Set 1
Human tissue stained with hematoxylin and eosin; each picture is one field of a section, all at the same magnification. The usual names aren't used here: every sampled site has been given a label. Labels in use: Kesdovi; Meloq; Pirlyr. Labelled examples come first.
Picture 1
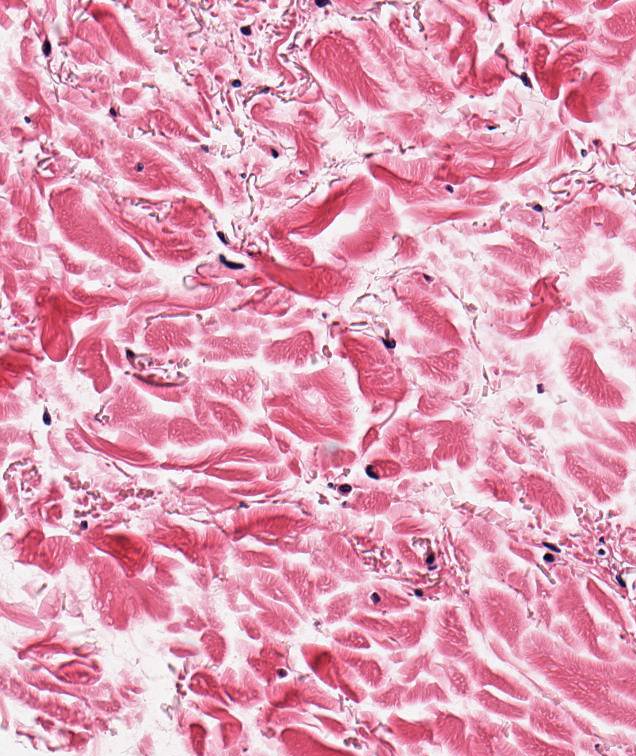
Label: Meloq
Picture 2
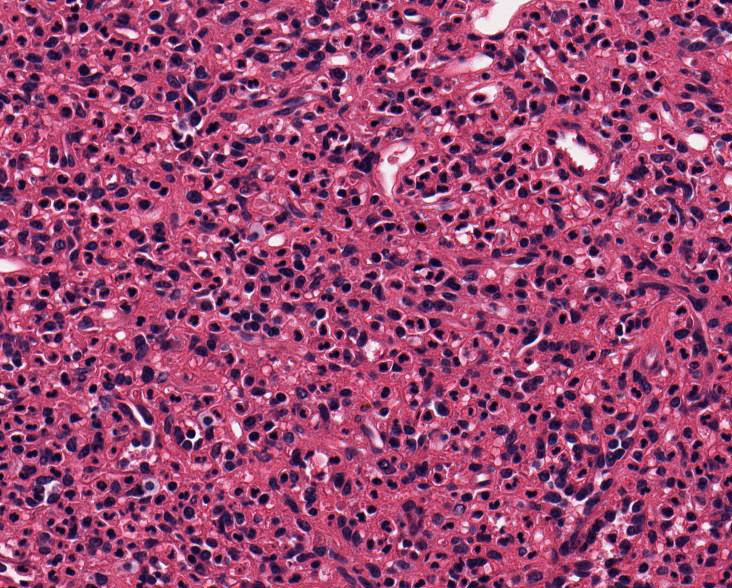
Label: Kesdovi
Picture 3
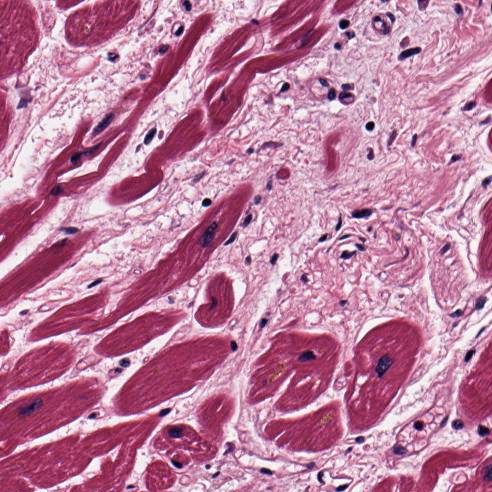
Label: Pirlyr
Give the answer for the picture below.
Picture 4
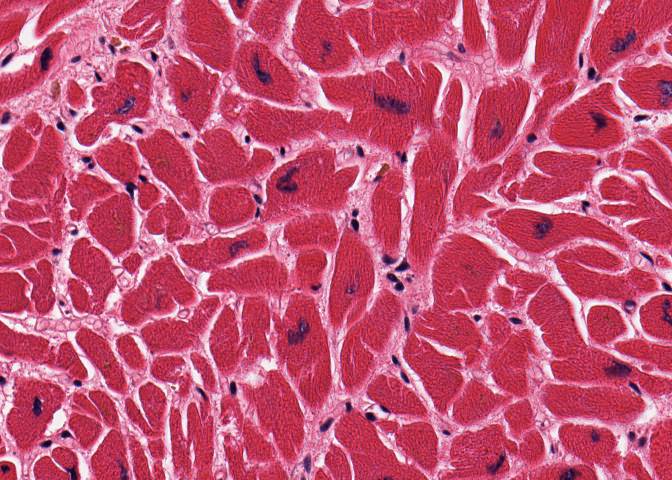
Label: Pirlyr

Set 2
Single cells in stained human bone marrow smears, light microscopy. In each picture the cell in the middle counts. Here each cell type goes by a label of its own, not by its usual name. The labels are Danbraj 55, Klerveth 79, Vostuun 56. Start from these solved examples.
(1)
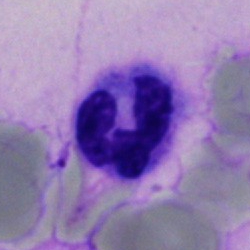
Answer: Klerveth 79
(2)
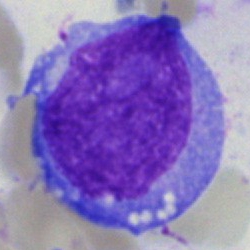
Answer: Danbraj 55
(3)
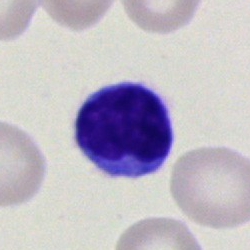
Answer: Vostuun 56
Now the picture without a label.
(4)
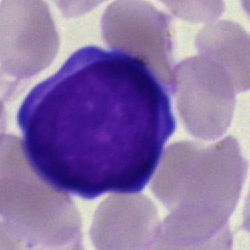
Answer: Danbraj 55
